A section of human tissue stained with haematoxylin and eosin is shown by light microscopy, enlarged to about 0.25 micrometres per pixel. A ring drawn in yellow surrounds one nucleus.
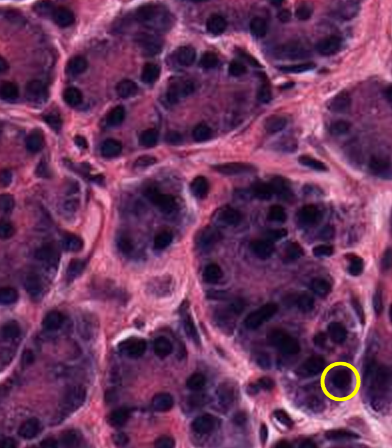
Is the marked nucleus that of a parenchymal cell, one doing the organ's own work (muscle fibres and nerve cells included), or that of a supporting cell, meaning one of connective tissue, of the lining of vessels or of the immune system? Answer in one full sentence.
Belonging to a parenchymal cell, the marked nucleus is that of a pancreatic acinar cell.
